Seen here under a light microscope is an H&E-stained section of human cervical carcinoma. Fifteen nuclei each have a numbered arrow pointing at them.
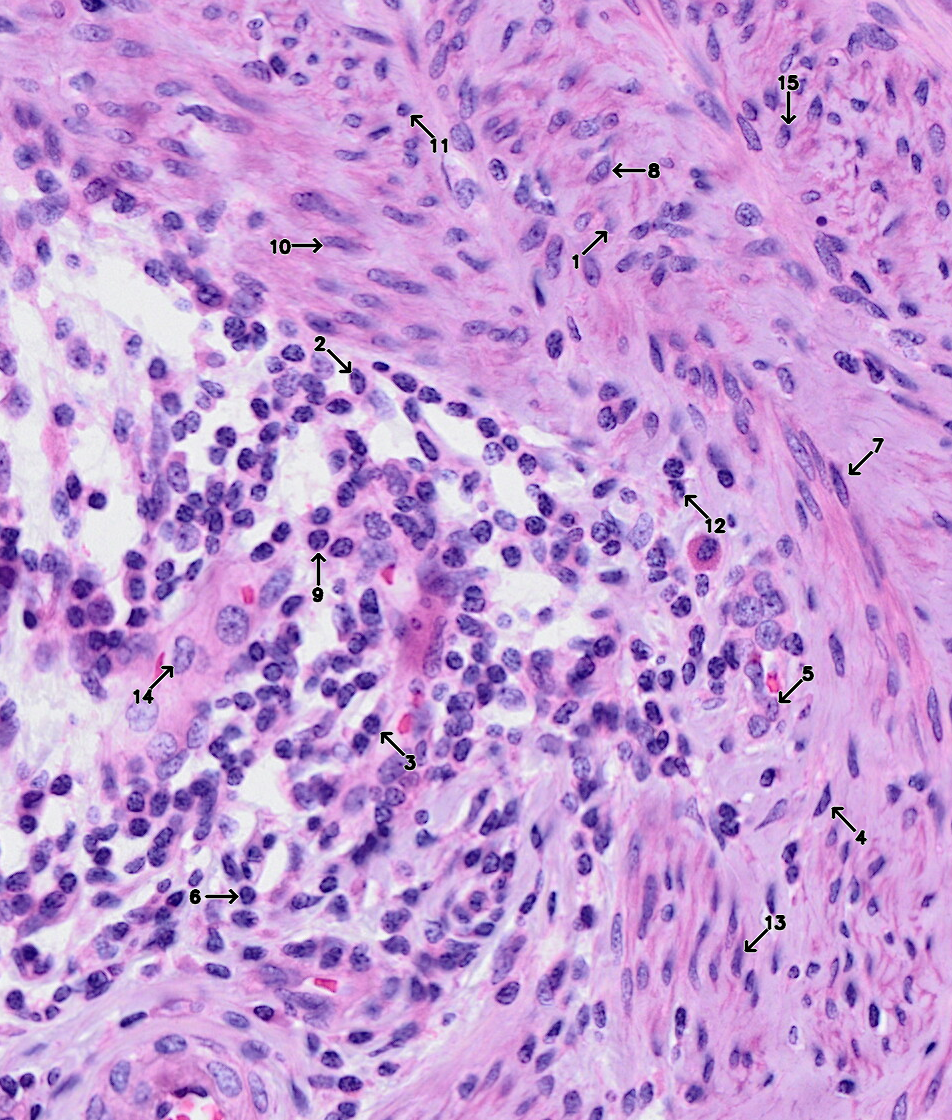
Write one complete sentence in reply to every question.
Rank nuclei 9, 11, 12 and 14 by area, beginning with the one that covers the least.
The order from the smallest nucleus to the largest is 11, 12, 9, 14.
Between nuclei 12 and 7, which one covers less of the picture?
Nucleus 12 is the smaller one; nucleus 7 covers about 2 times its area.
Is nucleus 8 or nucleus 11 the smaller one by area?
Nucleus 11 is the smaller one; nucleus 8 covers about 2 times its area.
